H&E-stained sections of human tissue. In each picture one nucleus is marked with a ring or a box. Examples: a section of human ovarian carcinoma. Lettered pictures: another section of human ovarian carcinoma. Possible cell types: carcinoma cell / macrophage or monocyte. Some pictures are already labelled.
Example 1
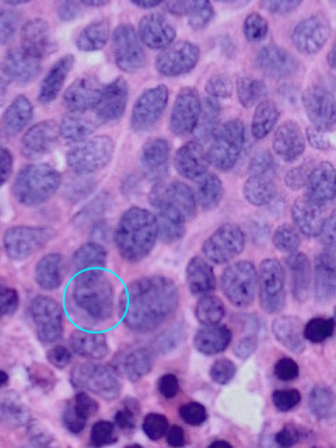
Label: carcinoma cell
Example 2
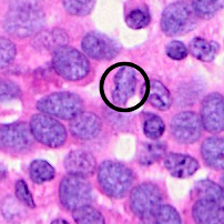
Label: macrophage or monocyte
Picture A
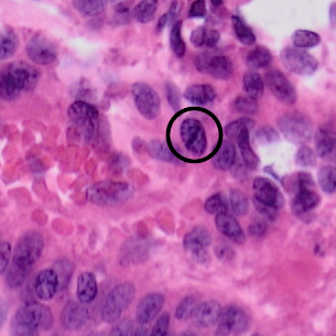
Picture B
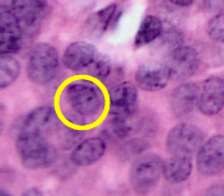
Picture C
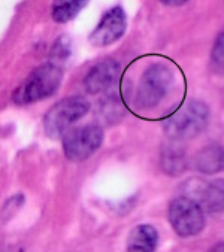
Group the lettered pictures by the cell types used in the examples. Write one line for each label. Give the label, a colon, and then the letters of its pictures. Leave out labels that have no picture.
carcinoma cell: B, C
macrophage or monocyte: A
